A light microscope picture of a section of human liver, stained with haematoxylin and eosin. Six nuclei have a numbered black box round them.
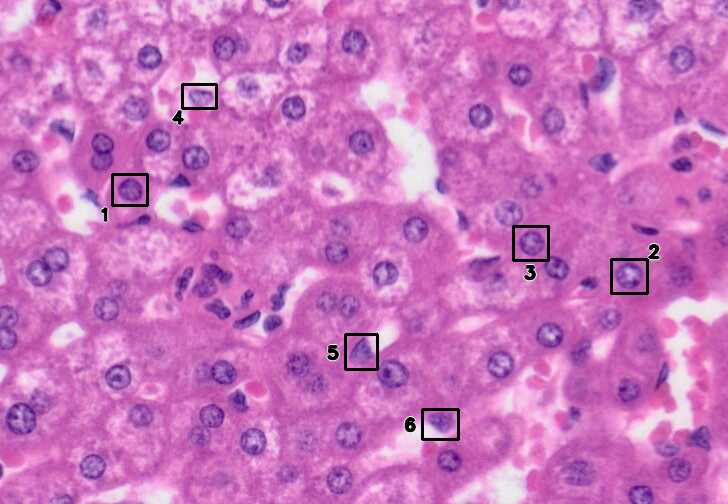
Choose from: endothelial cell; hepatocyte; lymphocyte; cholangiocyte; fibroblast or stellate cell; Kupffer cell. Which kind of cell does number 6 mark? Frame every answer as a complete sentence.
Cell 6, among those numbered, is an endothelial cell.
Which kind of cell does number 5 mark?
In the marked set, the cell given number 5 is an endothelial cell.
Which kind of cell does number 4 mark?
At number 4, the marked cell is a Kupffer cell.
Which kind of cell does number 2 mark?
Recognised here as a hepatocyte is the cell numbered 2.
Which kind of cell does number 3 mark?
Among the marked cells, number 3 is a hepatocyte.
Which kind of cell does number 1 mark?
The cell indicated by marker 1 is a hepatocyte in this section.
